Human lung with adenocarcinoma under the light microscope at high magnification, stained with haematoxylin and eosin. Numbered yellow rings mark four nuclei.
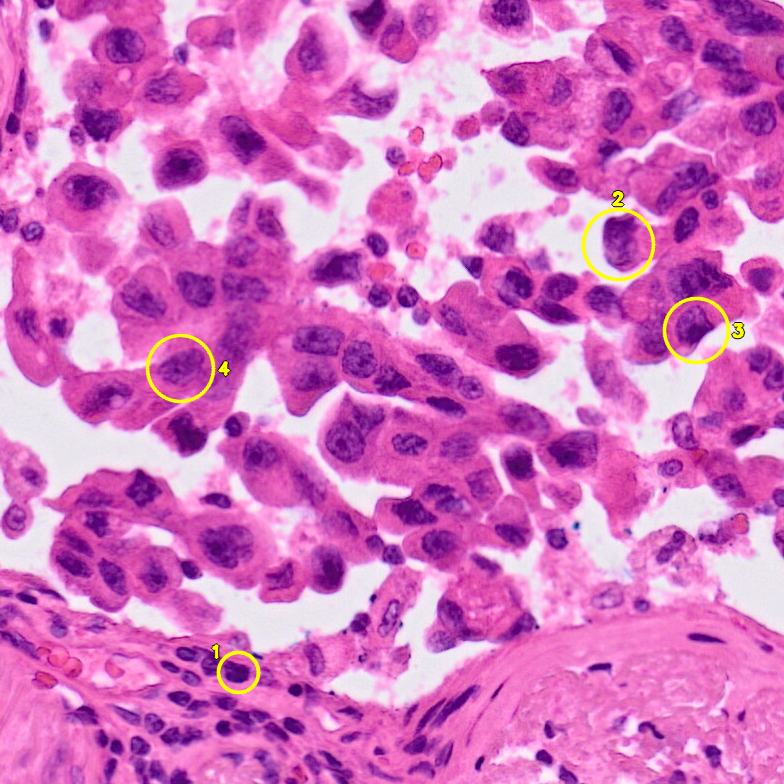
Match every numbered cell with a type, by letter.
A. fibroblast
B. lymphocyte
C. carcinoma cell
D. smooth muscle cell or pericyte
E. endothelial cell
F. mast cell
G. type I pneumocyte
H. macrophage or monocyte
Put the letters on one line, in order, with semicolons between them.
B; C; C; C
